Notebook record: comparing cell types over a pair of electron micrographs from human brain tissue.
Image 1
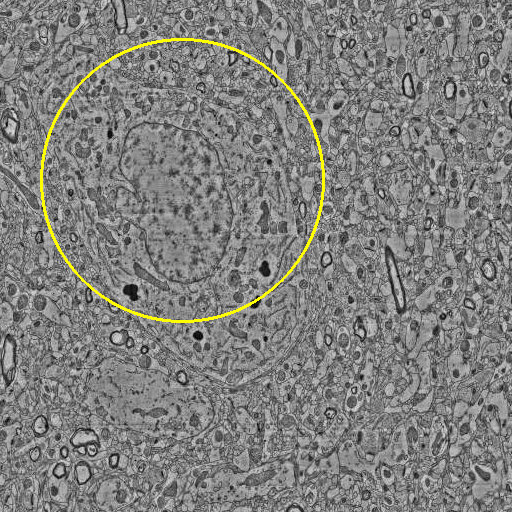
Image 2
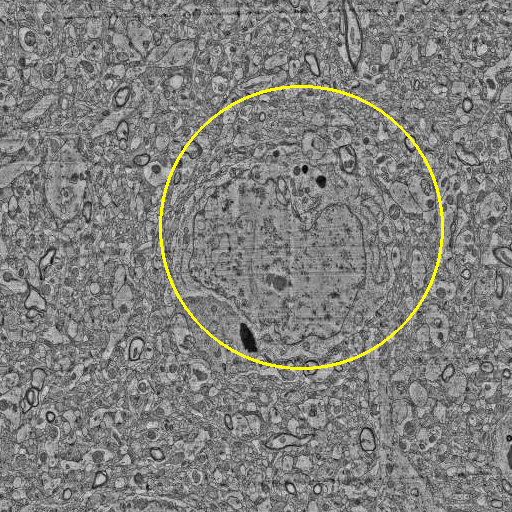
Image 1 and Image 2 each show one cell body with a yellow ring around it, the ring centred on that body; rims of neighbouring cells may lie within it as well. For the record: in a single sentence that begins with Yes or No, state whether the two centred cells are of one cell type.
Yes, one cell type is shared by the centred cells of Image 1 and Image 2.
